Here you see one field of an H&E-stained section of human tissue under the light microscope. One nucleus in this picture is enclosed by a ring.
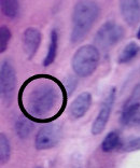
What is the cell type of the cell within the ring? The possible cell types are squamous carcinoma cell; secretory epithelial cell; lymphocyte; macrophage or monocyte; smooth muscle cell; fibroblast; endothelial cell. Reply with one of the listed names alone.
secretory epithelial cell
